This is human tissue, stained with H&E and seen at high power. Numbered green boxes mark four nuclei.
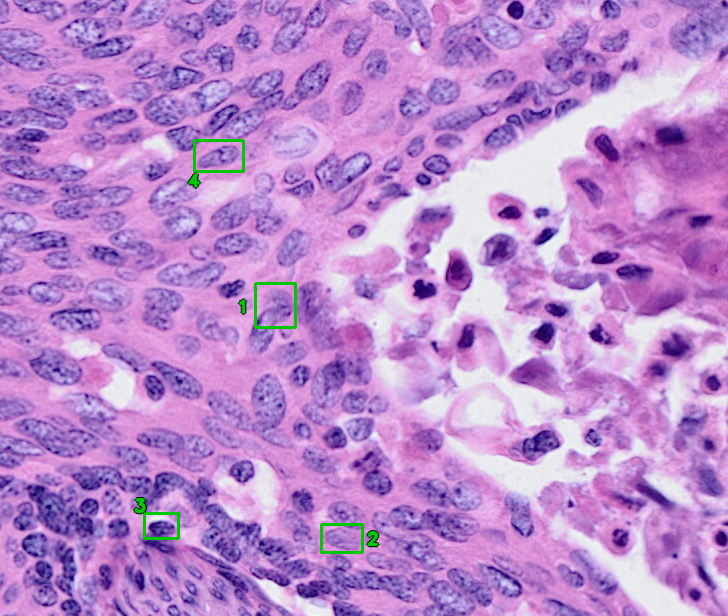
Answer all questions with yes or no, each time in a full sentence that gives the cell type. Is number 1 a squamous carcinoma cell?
Yes, the marked cell numbered 1 is a squamous carcinoma cell.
